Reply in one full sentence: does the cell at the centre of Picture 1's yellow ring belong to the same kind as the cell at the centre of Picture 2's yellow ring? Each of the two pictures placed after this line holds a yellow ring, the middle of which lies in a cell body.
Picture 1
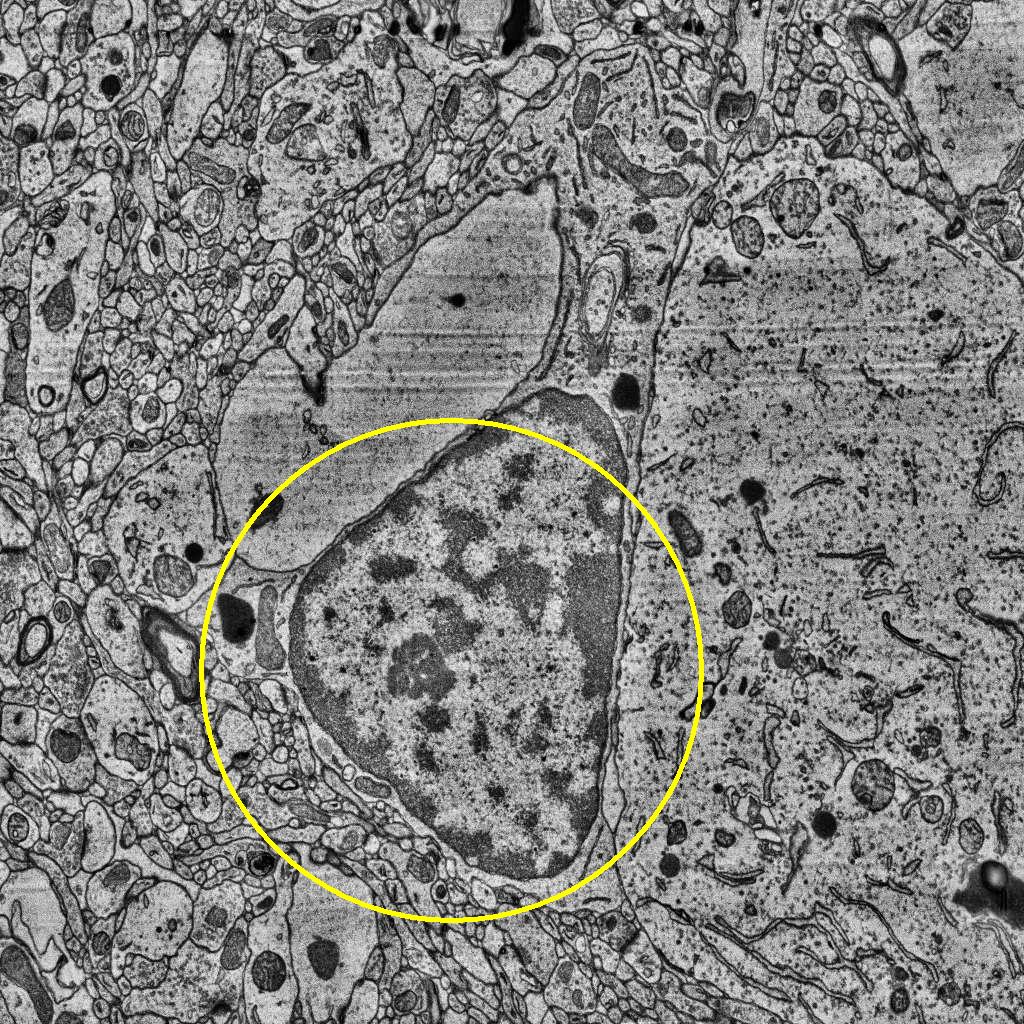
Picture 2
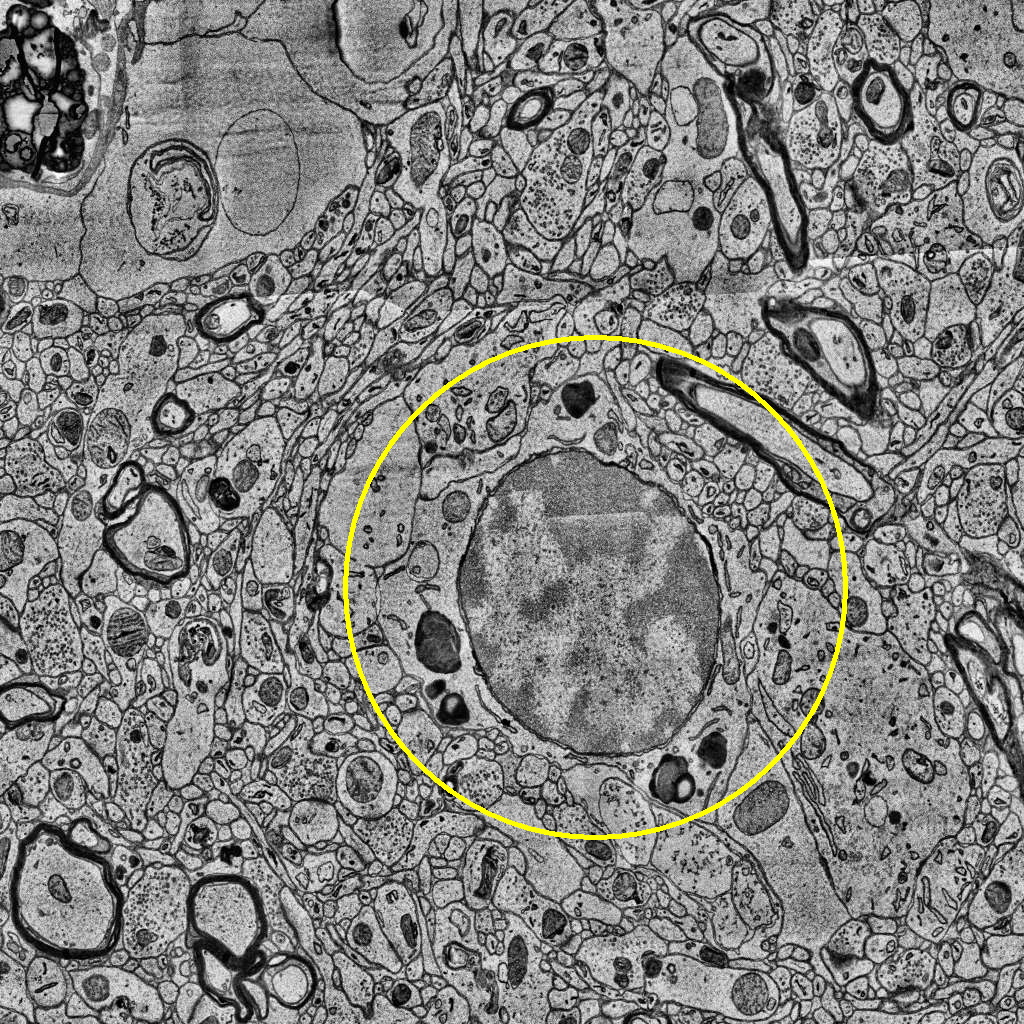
Yes, the cells at the ring centres in Picture 1 and Picture 2 are of one and the same kind.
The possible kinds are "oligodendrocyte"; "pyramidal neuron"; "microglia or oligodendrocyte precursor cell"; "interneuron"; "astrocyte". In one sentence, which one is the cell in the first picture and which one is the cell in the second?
The ring centre holds a microglial cell or oligodendrocyte precursor cell in each of the two pictures.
